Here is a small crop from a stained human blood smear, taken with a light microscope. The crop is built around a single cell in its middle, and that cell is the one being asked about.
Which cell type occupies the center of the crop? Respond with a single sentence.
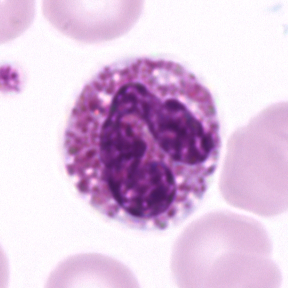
The central cell, amid any neighbouring cells, is an eosinophil.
